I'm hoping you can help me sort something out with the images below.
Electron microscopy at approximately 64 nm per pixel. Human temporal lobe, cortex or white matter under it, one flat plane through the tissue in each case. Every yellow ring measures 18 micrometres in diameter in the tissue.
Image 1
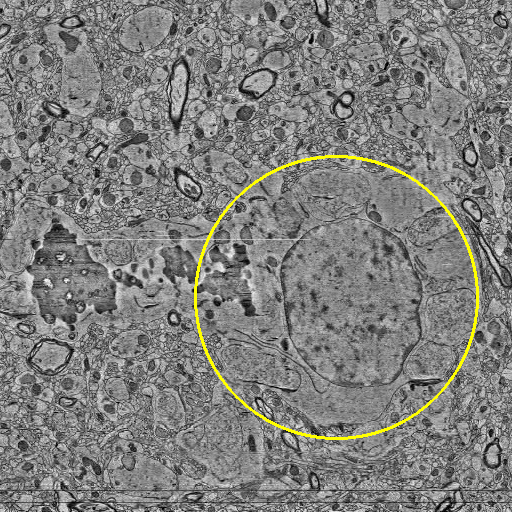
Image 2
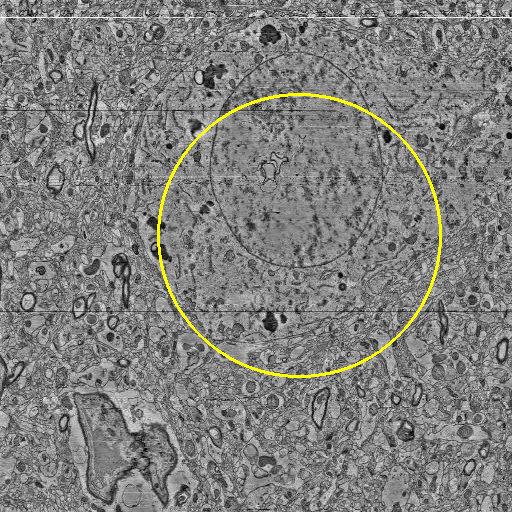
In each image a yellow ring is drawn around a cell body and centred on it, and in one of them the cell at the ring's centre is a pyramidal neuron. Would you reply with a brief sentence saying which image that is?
In Image 2, the cell at the centre of the ring is the one you asked about.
